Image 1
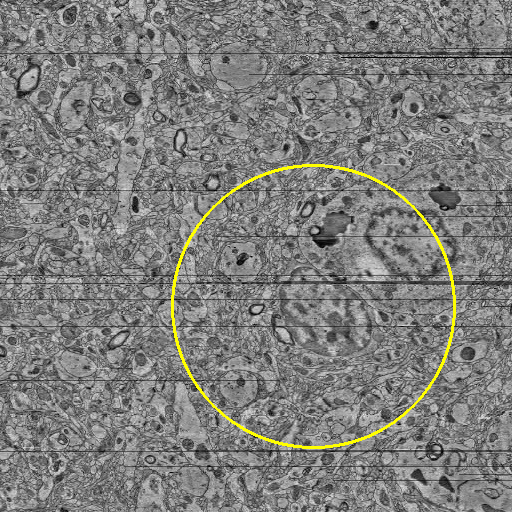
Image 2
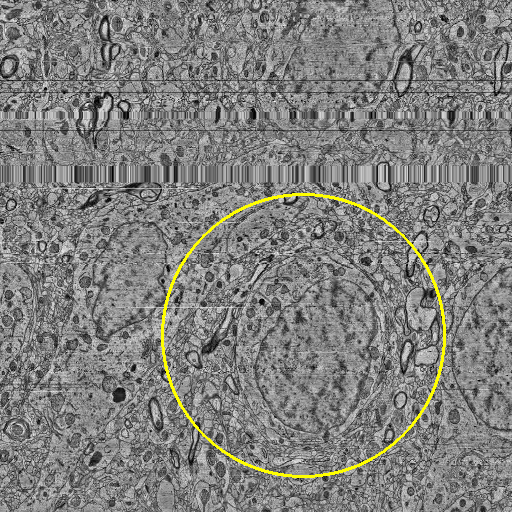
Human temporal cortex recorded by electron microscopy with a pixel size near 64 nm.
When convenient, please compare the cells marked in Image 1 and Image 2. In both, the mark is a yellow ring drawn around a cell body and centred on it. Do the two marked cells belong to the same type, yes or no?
no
